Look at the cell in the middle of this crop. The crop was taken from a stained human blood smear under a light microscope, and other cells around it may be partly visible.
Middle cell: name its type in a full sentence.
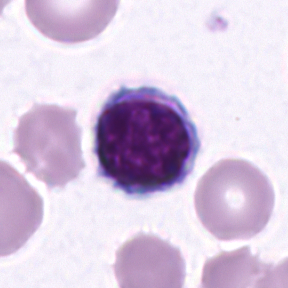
As for the cell in the middle, it is a plasma cell.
